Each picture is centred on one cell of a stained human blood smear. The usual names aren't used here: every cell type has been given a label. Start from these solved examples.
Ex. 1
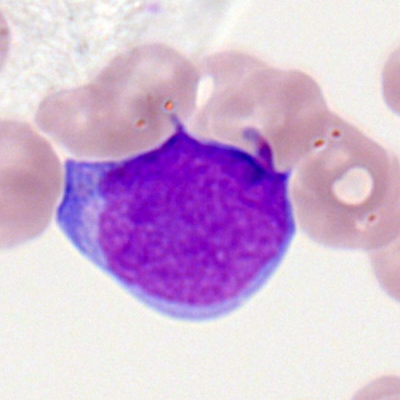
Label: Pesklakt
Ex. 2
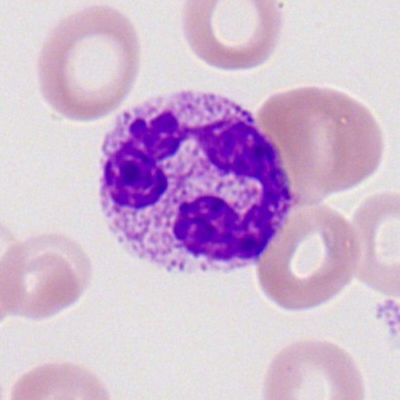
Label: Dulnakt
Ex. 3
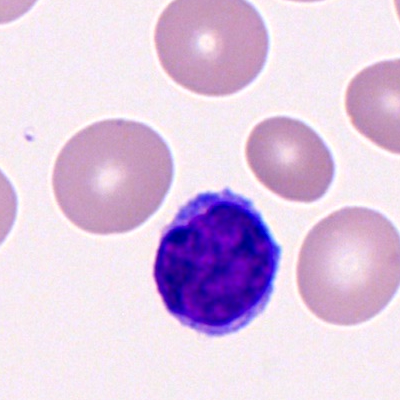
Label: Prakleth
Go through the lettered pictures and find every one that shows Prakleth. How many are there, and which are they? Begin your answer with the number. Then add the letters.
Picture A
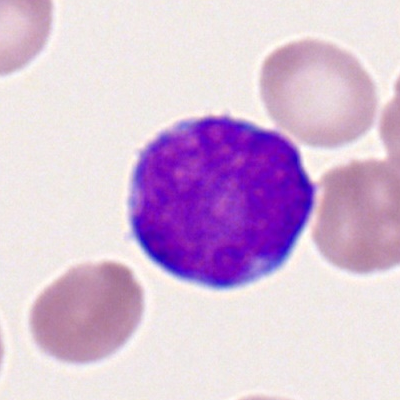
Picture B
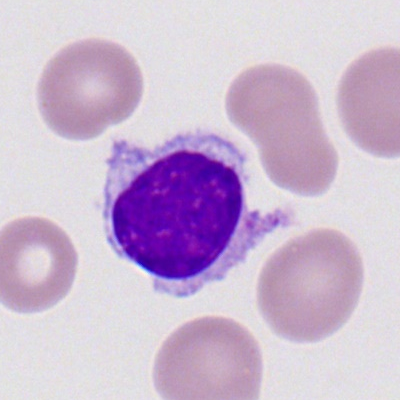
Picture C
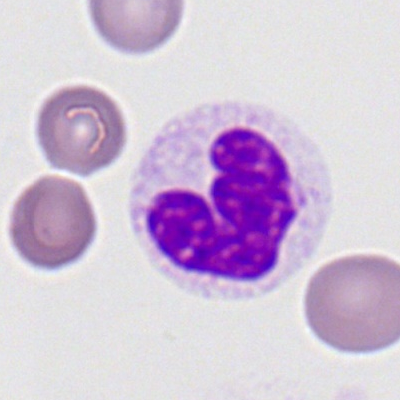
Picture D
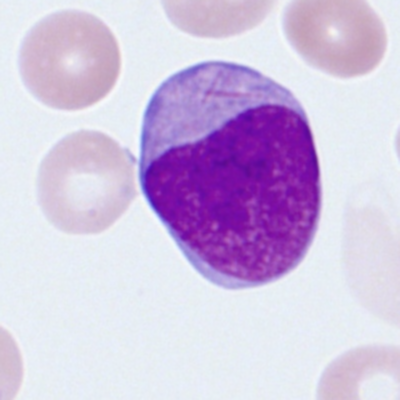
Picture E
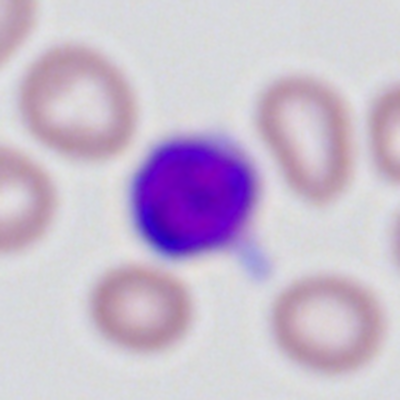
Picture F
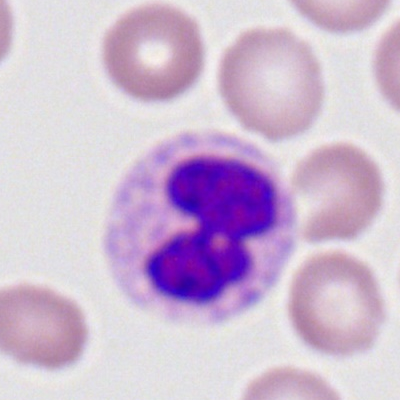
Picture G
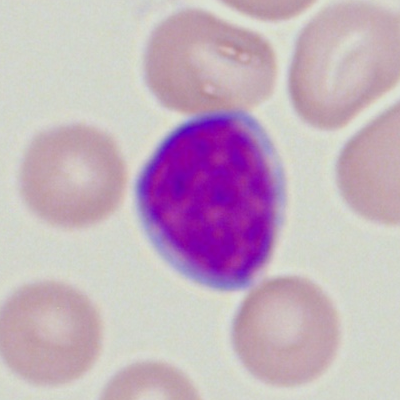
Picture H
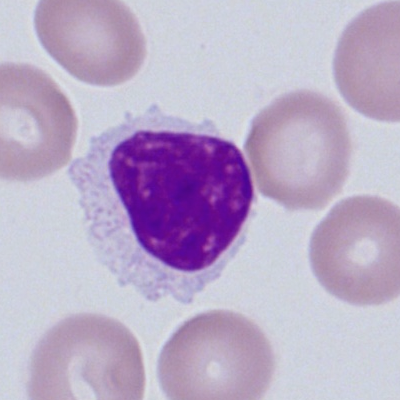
4: B, E, G, H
